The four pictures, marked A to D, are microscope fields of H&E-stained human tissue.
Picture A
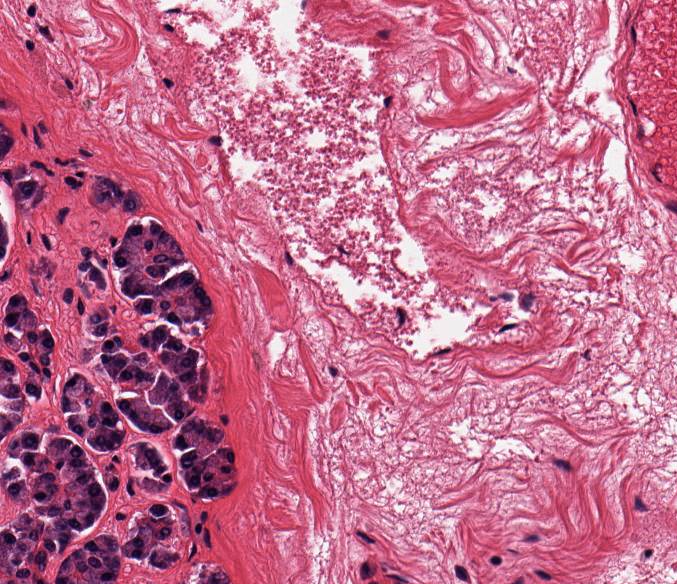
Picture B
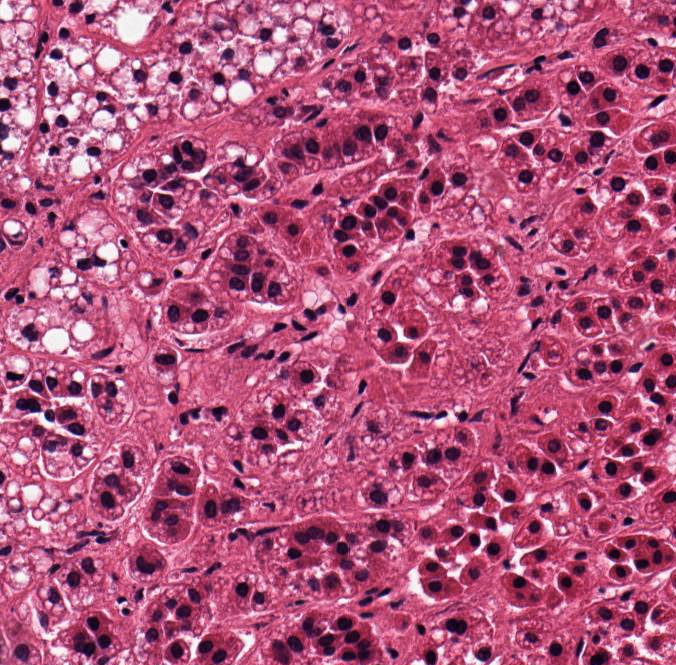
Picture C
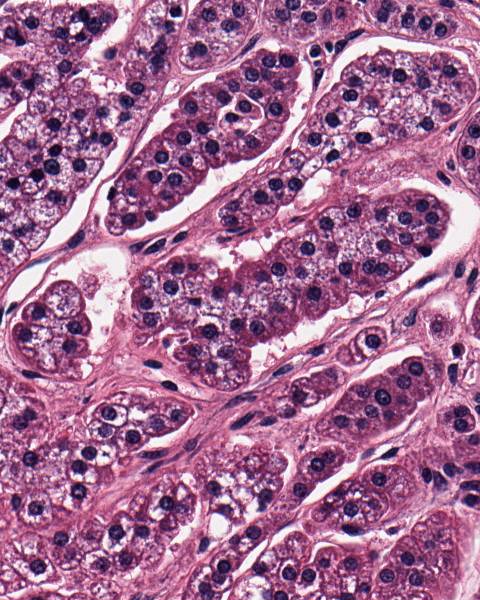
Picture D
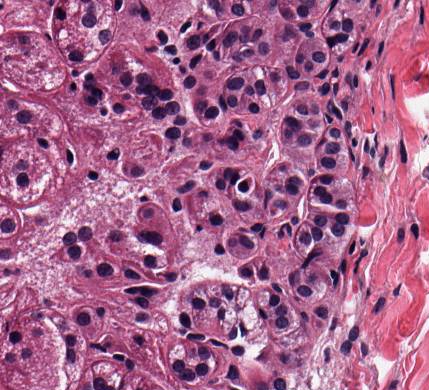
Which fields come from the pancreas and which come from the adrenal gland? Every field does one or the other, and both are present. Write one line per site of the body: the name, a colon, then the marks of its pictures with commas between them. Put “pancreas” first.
pancreas: A
adrenal gland: B, C, D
